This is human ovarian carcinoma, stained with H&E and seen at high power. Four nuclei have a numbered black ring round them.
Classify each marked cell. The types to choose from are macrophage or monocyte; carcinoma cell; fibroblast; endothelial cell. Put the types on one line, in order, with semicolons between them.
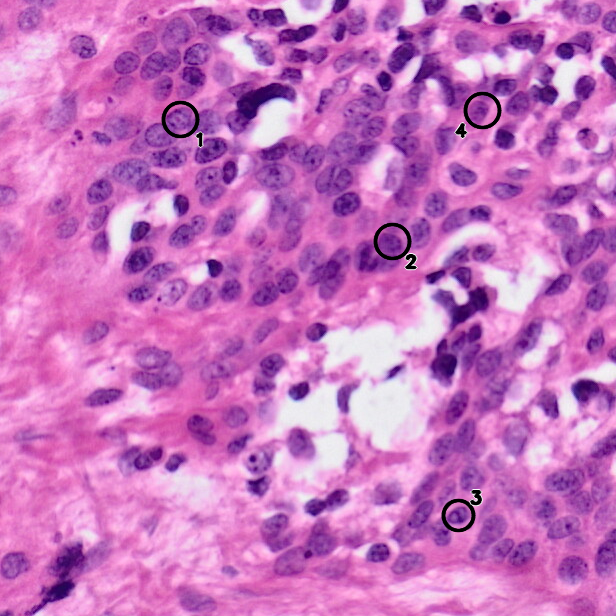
carcinoma cell; carcinoma cell; macrophage or monocyte; carcinoma cell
